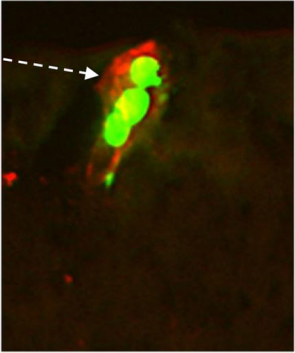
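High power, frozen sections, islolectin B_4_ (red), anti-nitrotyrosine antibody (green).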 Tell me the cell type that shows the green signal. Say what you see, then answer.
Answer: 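The green bodies sit inside an elongated red-outlined tube.
Blood cells.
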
